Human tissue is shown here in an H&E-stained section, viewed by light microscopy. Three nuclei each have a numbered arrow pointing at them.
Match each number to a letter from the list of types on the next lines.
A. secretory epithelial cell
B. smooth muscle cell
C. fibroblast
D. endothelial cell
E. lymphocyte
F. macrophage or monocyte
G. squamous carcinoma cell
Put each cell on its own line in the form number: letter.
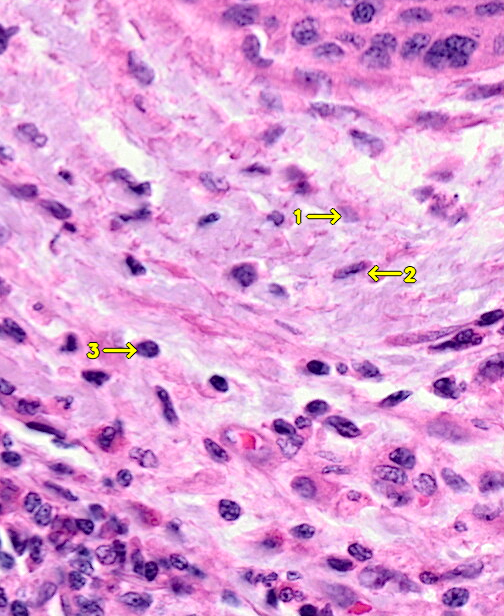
1: C
2: C
3: E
